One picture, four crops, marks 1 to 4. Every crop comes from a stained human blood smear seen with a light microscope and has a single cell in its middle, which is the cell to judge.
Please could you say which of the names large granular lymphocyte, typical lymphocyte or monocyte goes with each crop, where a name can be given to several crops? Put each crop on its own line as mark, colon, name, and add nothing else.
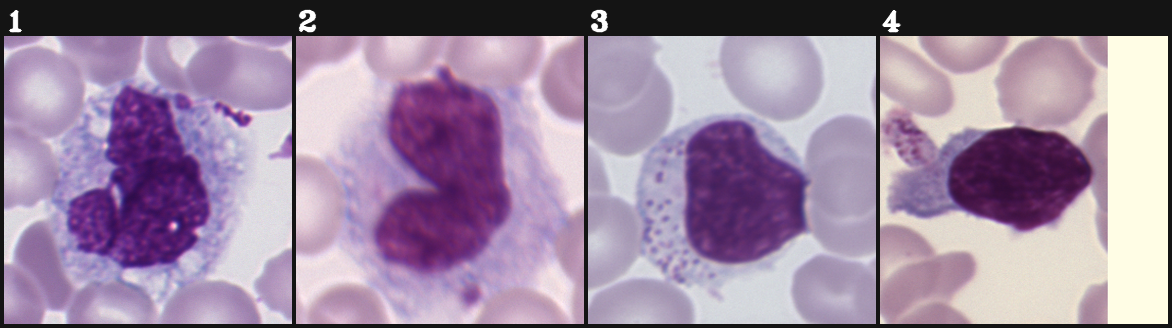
1: monocyte
2: monocyte
3: large granular lymphocyte
4: typical lymphocyte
